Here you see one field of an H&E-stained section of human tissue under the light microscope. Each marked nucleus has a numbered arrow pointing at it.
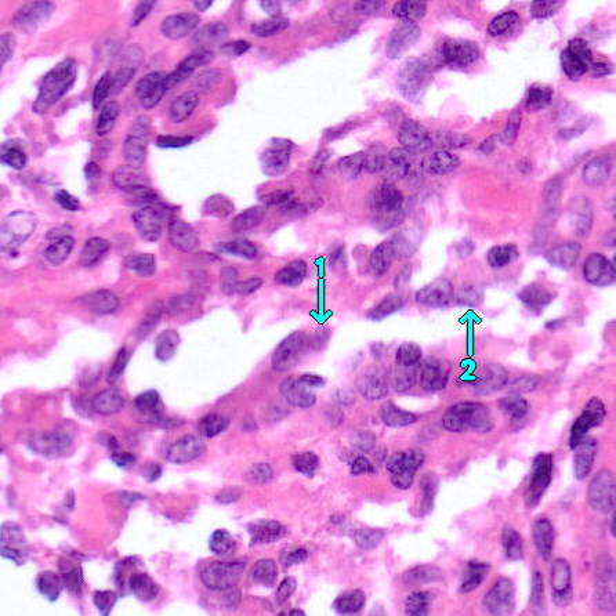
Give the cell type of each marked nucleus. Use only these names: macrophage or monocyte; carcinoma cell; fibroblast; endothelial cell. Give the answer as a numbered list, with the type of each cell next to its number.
1. carcinoma cell
2. macrophage or monocyte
